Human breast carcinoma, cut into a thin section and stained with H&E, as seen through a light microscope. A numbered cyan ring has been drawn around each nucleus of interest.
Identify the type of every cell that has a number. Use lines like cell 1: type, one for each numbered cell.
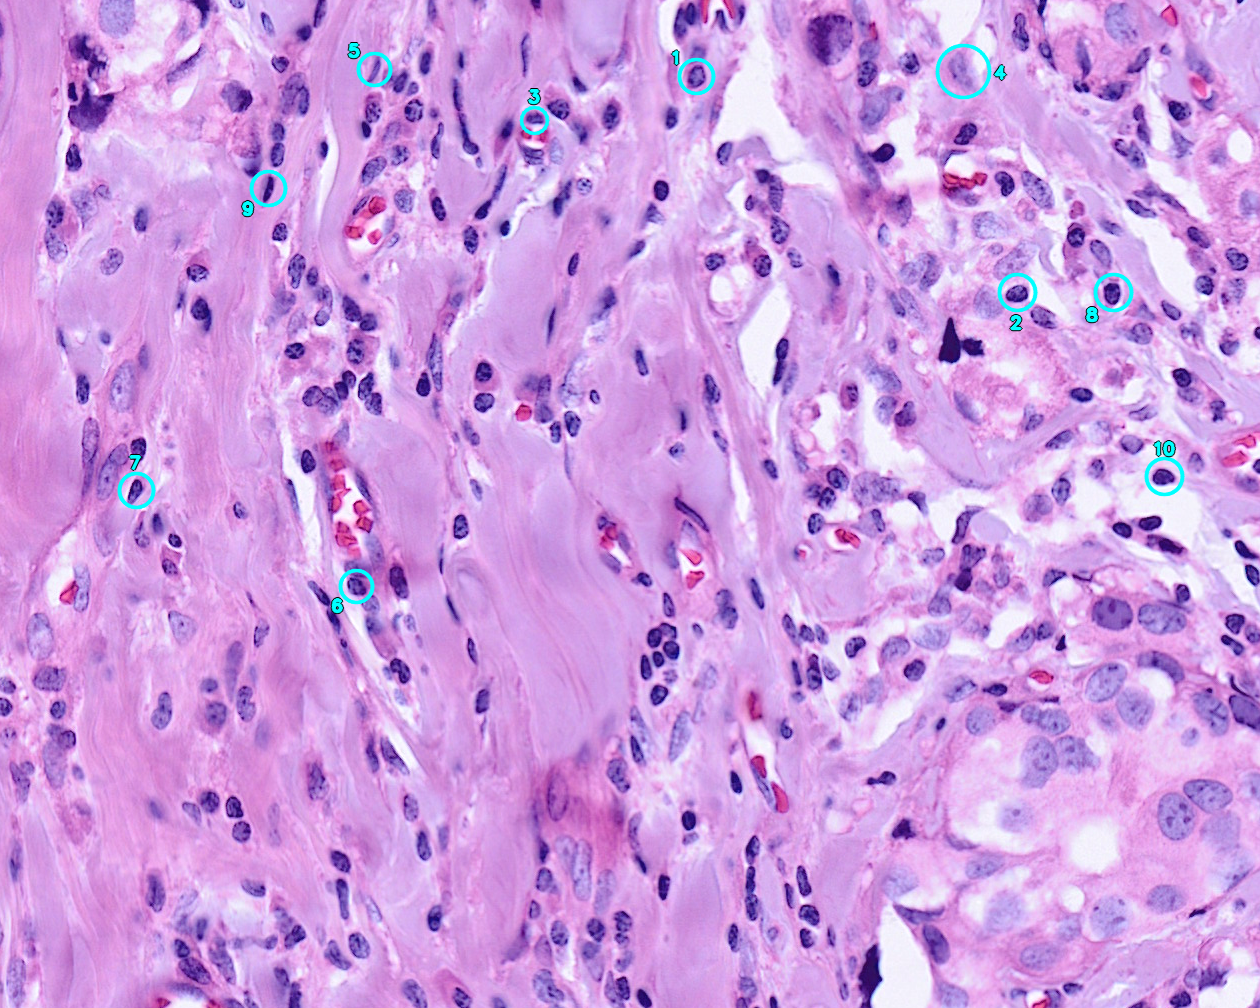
cell 1: mast cell
cell 2: lymphocyte
cell 3: endothelial cell
cell 4: fibroblast
cell 5: fibroblast
cell 6: lymphocyte
cell 7: lymphocyte
cell 8: lymphocyte
cell 9: lymphocyte
cell 10: lymphocyte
